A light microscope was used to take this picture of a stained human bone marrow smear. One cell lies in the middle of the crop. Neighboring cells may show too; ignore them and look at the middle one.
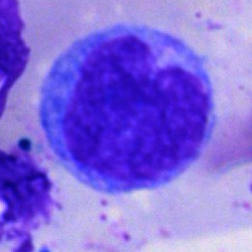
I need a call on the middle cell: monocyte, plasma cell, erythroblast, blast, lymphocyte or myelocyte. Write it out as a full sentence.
The cell found in the middle of this crop is a monocyte.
